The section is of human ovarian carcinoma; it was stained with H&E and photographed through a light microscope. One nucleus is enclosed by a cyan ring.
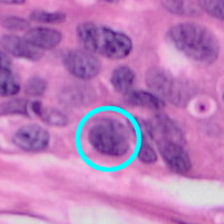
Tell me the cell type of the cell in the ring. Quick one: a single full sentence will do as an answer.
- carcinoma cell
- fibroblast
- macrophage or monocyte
As for its identity, the cell in the ring is a carcinoma cell.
